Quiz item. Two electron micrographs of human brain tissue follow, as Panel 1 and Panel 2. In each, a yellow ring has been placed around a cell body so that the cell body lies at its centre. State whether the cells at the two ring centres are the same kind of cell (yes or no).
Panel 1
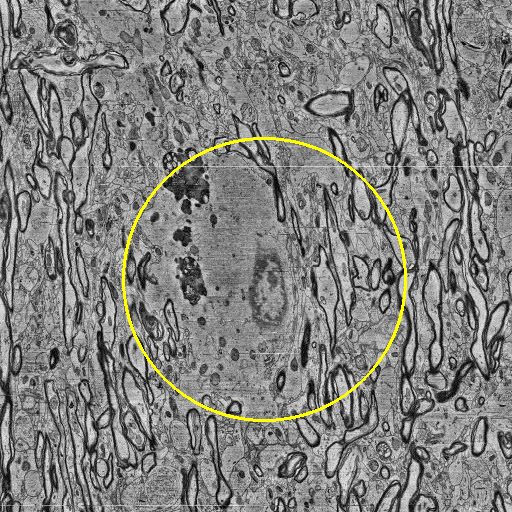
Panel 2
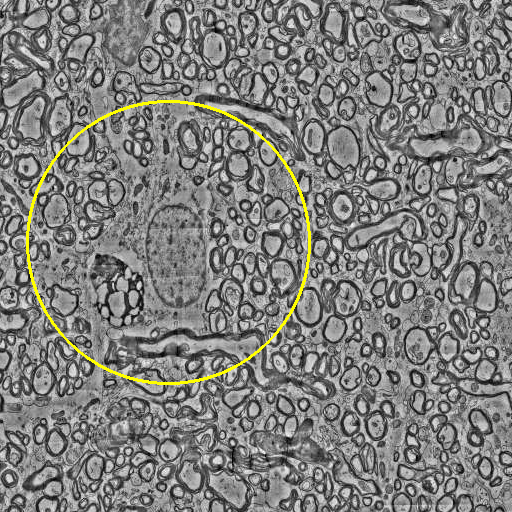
yes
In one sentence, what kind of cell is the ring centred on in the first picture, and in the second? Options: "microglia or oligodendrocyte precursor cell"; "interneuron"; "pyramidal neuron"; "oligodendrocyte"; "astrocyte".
Both pictures show an astrocyte at the centre of the ring.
